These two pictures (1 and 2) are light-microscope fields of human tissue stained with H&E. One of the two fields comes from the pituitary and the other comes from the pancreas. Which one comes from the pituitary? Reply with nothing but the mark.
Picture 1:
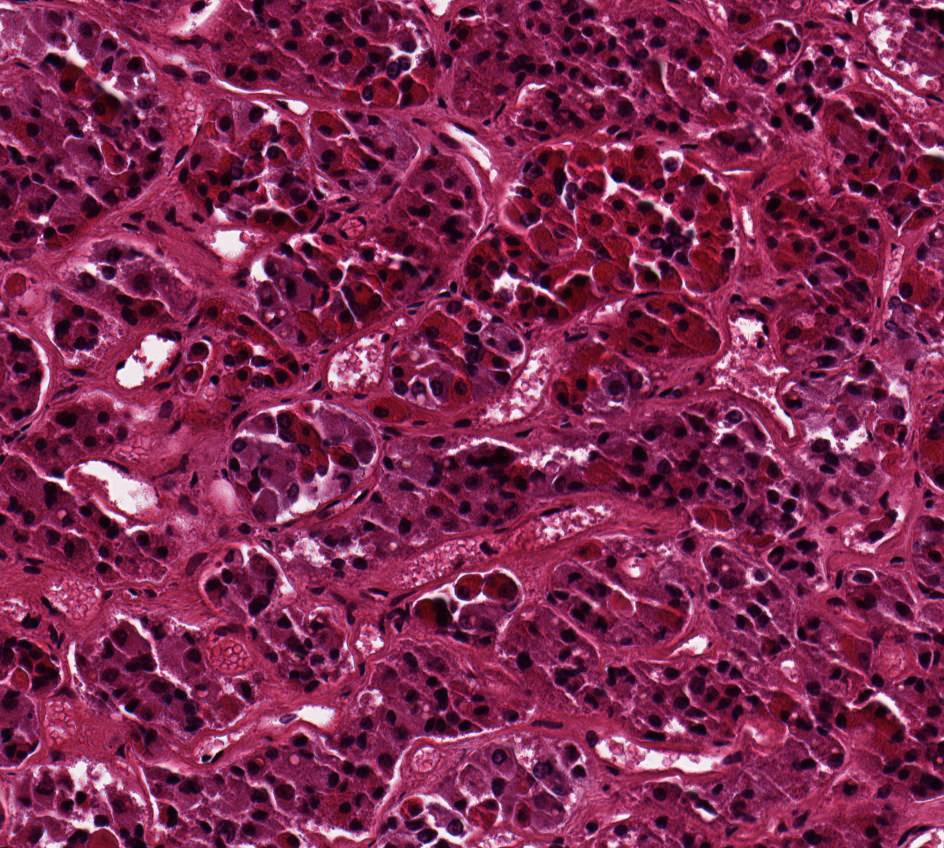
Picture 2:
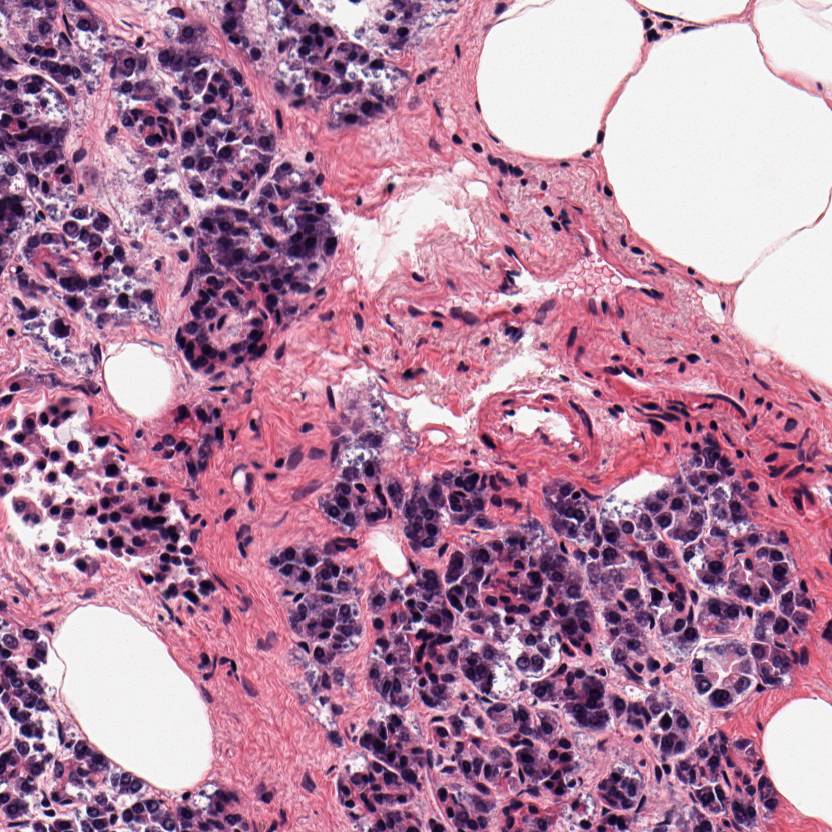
1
